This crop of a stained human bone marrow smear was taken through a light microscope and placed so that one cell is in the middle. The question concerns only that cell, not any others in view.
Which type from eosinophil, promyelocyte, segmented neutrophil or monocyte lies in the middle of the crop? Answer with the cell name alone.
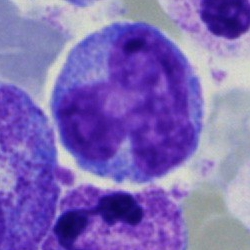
monocyte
